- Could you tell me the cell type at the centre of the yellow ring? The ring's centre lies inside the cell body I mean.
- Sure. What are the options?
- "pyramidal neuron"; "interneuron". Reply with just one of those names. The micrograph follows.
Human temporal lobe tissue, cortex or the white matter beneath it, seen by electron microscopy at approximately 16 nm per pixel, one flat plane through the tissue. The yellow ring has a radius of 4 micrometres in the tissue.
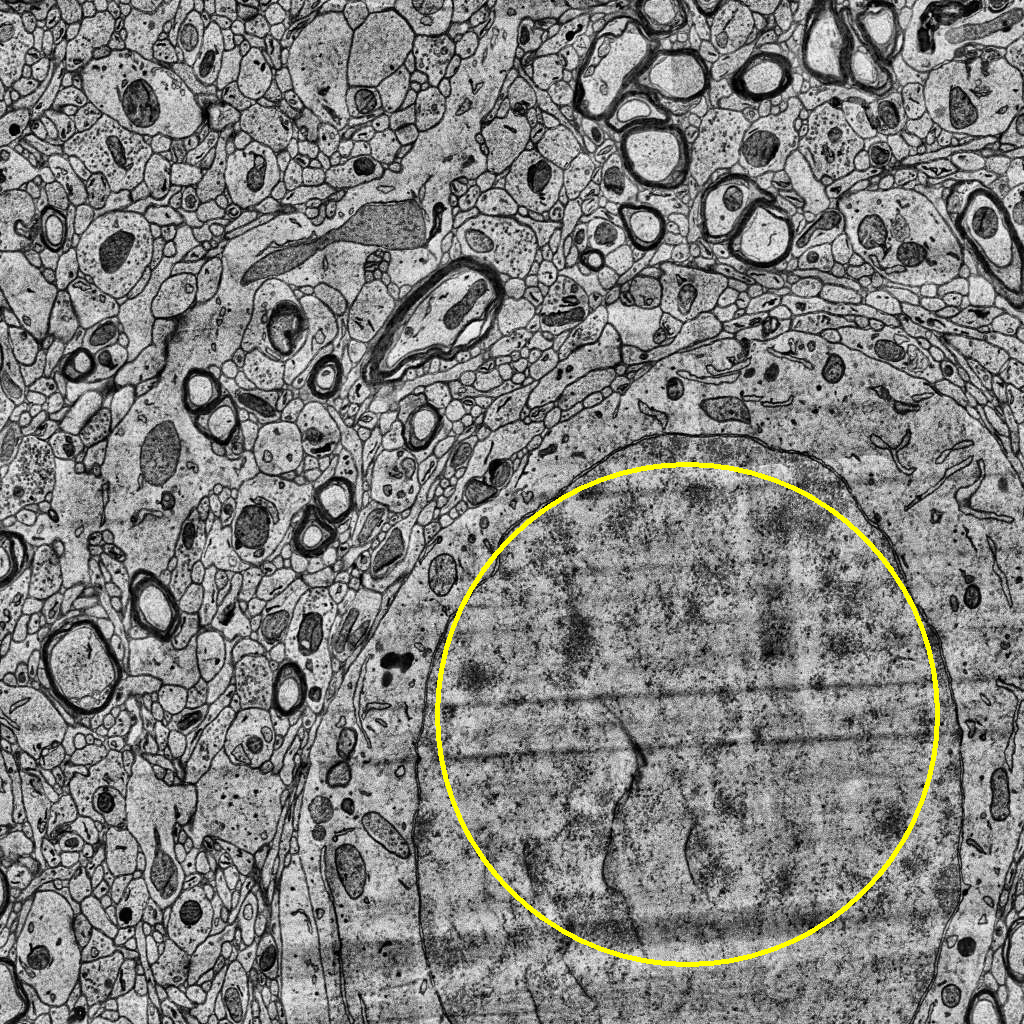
pyramidal neuron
